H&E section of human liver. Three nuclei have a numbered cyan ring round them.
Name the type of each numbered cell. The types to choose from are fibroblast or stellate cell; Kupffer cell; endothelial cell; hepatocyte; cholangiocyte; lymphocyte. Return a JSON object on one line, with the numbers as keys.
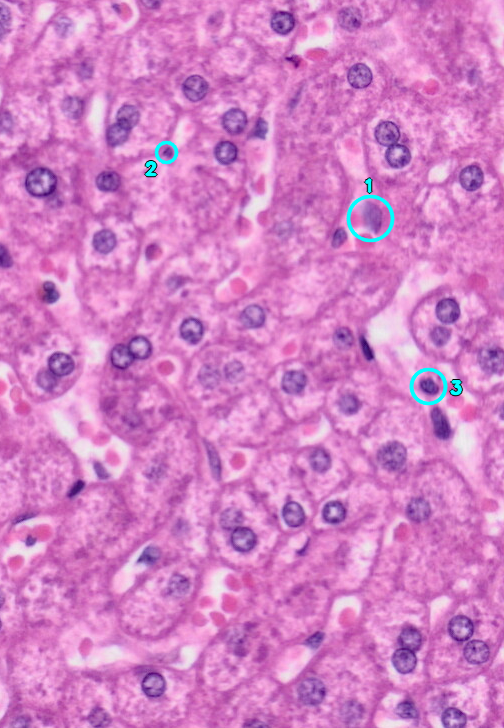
{"1": "endothelial cell", "2": "fibroblast or stellate cell", "3": "lymphocyte"}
